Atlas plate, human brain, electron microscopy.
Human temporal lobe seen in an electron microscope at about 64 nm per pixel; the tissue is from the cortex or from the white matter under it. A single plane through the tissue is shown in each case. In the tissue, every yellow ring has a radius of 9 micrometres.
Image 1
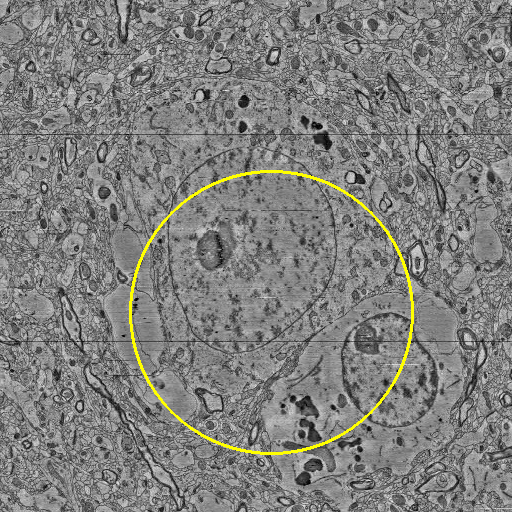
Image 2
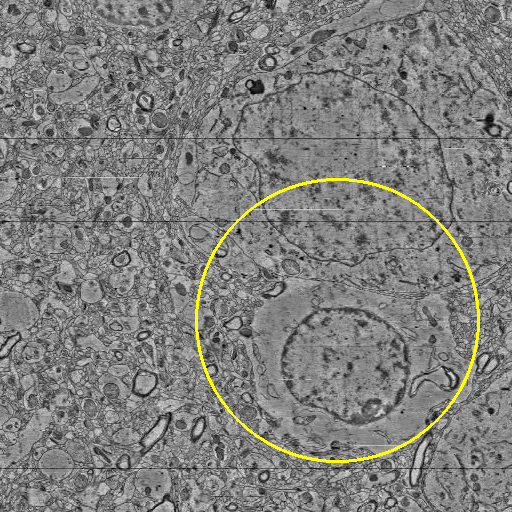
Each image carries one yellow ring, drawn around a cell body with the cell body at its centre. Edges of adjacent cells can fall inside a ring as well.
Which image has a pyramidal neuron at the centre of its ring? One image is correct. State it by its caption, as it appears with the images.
Image 1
